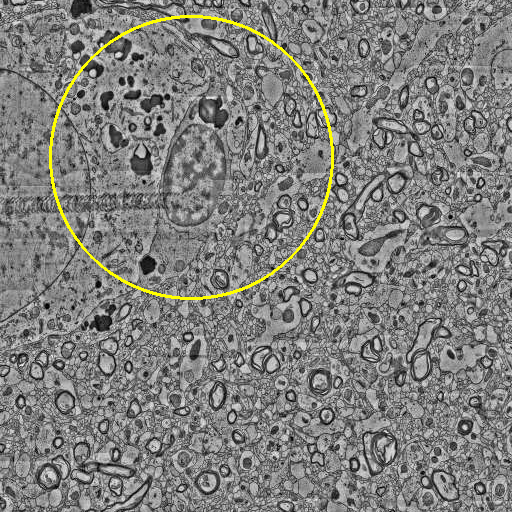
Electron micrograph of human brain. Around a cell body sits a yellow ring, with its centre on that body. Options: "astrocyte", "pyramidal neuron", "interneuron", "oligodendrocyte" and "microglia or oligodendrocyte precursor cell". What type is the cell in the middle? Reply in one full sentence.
The cell sitting at the centre of the yellow ring is an oligodendrocyte.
